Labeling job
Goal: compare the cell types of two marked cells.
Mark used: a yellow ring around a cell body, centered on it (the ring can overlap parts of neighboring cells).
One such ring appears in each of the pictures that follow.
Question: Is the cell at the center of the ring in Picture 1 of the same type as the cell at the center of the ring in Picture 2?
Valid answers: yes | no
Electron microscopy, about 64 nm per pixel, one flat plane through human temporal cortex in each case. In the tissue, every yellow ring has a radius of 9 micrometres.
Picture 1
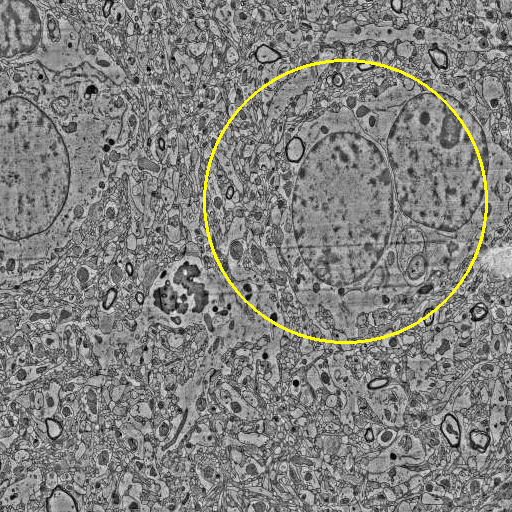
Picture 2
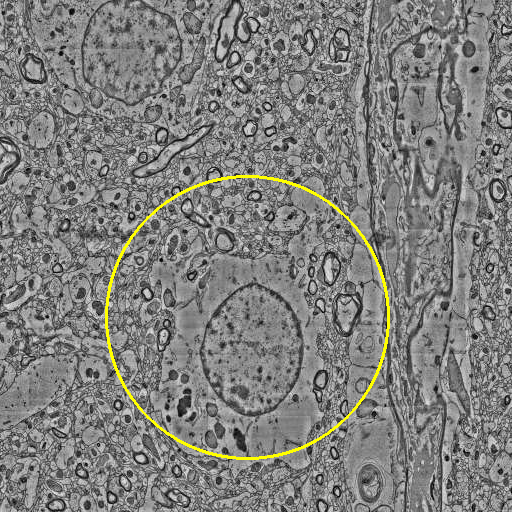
yes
